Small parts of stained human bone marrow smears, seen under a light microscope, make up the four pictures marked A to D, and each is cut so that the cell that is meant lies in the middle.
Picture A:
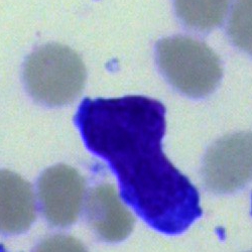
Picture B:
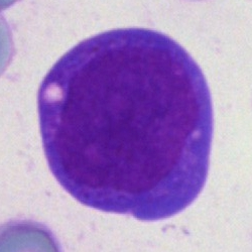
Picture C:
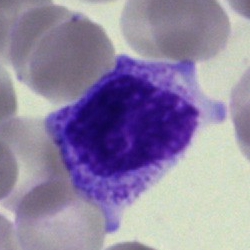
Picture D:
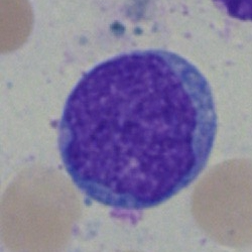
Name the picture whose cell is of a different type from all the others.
C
